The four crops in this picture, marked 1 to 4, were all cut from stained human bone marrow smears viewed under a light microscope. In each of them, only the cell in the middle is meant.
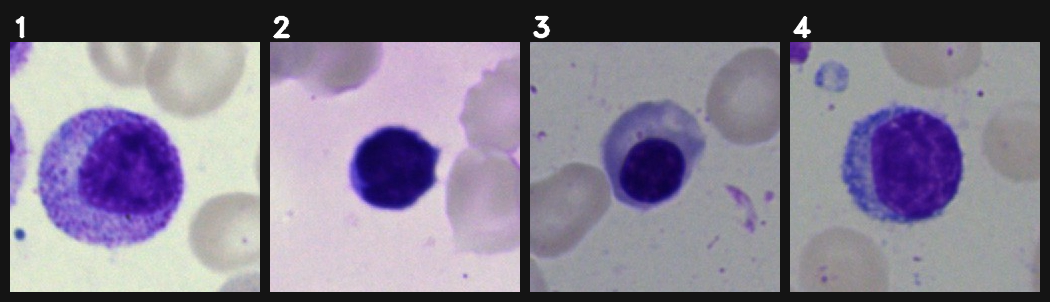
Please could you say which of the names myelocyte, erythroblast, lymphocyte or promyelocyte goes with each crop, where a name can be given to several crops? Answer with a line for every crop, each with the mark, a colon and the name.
1: myelocyte
2: lymphocyte
3: erythroblast
4: lymphocyte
